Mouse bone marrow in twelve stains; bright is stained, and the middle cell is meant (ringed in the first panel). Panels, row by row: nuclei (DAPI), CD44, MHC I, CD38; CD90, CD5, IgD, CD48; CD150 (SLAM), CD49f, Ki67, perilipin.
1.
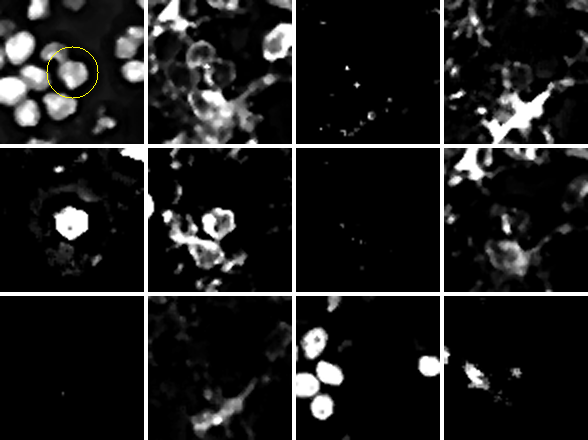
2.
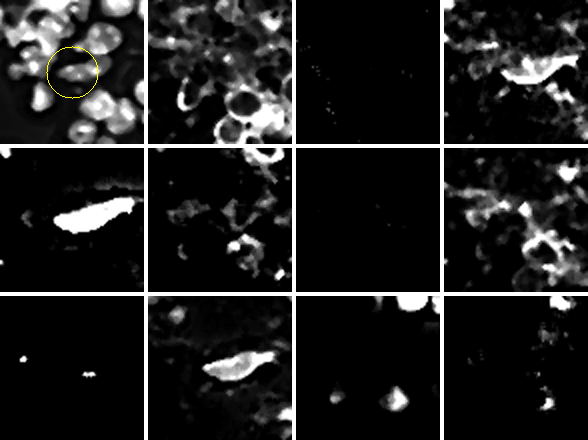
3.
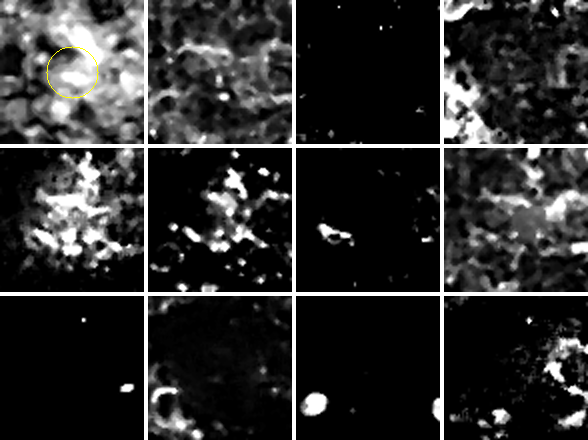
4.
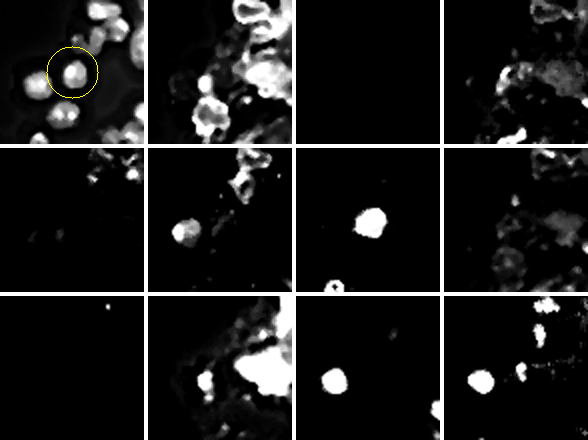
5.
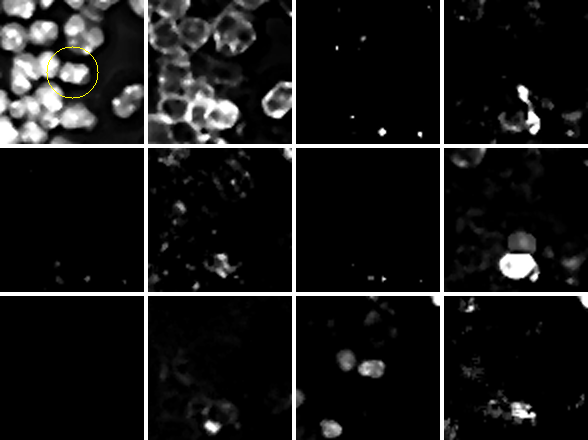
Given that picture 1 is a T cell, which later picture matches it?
3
